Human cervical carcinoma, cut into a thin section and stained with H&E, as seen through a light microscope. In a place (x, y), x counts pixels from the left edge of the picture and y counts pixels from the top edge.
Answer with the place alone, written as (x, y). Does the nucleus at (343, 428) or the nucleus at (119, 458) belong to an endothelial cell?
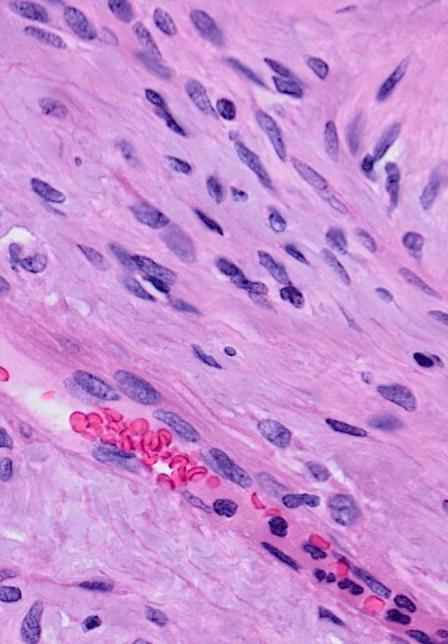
(119, 458)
